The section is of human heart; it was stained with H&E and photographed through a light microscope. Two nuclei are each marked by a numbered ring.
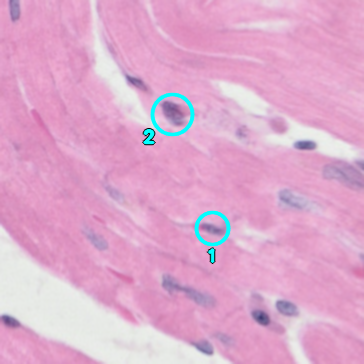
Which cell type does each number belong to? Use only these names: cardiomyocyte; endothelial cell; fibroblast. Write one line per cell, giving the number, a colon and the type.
1: endothelial cell
2: fibroblast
